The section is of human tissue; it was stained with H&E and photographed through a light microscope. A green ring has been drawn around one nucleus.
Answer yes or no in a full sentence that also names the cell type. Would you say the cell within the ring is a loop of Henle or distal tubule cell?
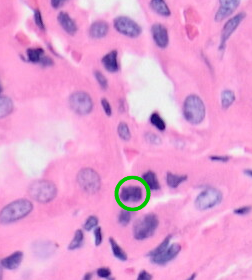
No, the cell within the ring is put down as a collecting duct cell, not as a loop of Henle or distal tubule cell.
